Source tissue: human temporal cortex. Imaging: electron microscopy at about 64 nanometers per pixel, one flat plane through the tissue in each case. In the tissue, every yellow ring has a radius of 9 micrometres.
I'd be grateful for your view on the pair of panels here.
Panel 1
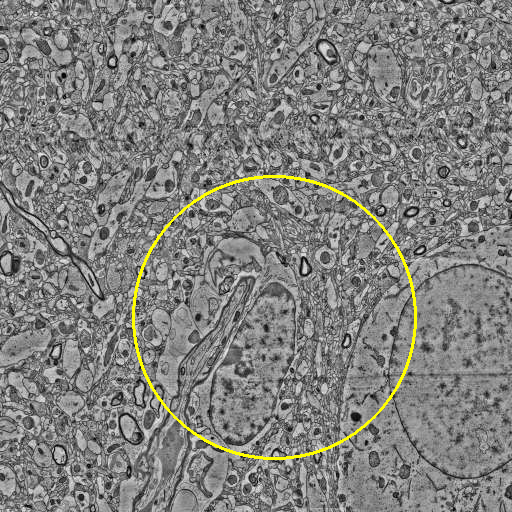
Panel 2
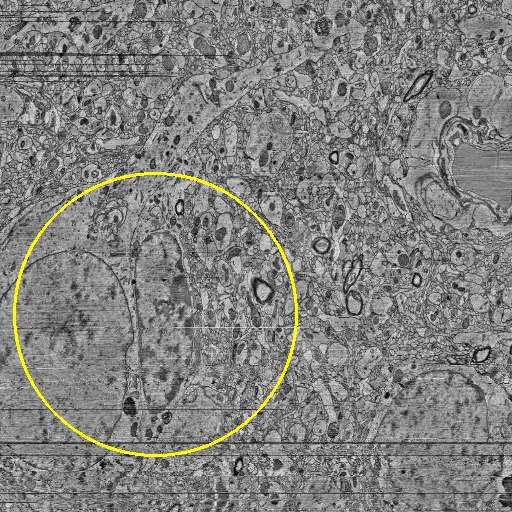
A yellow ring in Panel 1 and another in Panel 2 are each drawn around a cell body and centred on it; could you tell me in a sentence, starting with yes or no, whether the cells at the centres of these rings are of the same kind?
Yes, they are the same kind of cell.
